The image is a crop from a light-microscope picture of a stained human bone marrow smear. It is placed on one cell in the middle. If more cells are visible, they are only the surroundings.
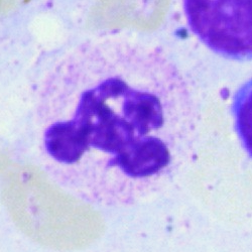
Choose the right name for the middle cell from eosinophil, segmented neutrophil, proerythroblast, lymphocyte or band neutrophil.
segmented neutrophil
